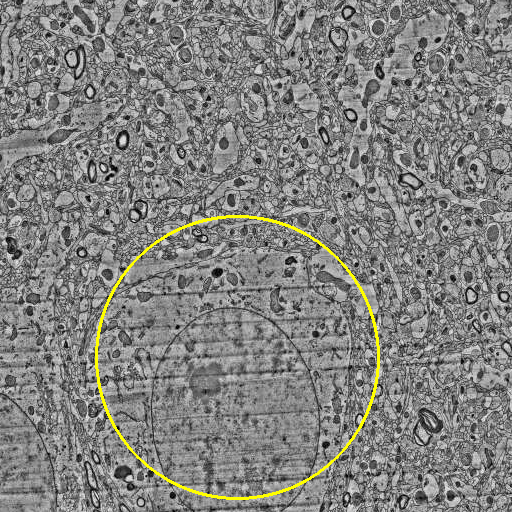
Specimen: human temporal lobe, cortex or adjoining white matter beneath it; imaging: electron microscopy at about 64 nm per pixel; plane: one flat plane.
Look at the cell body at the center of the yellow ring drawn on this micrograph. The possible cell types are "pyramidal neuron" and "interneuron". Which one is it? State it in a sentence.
The cell in the middle of the ring is a pyramidal neuron.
